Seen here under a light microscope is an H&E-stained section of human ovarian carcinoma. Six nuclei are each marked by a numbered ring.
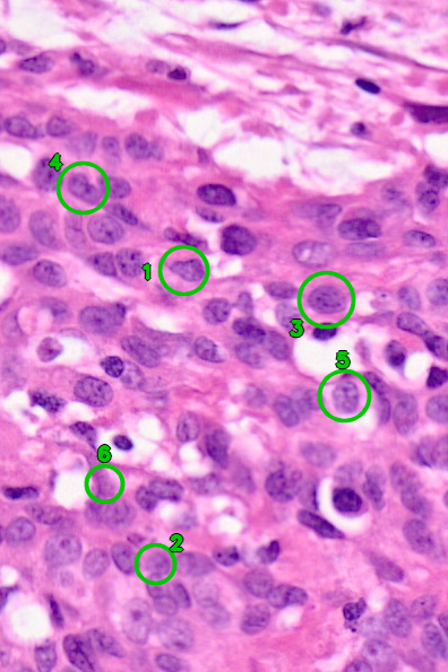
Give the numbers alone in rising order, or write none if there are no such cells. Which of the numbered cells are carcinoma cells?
2, 3, 4, 6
